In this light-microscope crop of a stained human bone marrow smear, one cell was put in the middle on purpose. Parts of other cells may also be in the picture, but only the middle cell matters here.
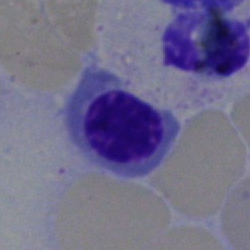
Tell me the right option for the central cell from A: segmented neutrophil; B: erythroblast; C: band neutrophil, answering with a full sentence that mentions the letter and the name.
Option B is correct in that the central cell is an erythroblast.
